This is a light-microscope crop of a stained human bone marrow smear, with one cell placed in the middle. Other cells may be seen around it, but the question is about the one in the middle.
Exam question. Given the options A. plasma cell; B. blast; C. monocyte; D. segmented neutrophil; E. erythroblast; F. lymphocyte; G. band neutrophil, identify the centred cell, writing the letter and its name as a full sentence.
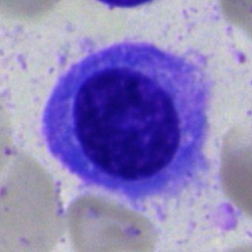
The middle cell of the crop is a plasma cell; accordingly, option A is correct.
